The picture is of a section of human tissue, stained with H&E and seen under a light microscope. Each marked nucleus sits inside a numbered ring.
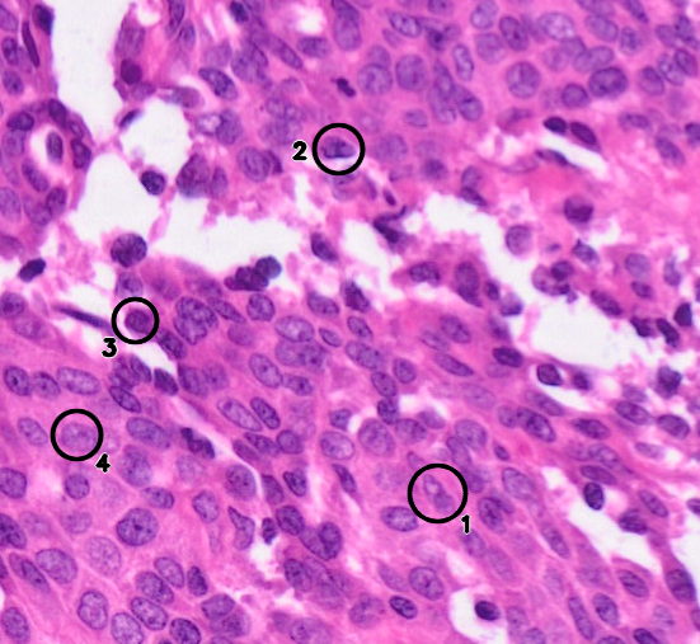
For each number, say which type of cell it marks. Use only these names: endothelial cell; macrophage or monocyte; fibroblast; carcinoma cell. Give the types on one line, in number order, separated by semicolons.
carcinoma cell; macrophage or monocyte; carcinoma cell; carcinoma cell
